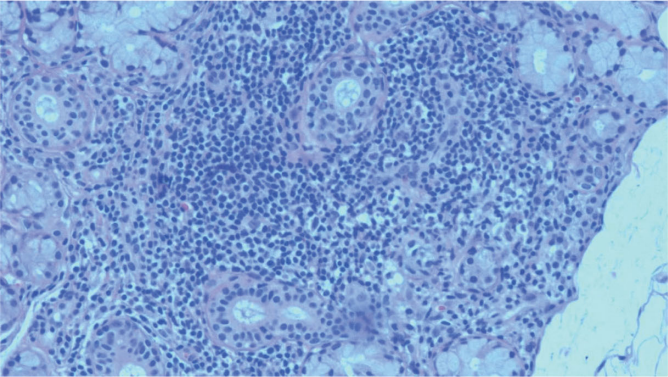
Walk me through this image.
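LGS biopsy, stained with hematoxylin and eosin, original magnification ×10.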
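A gland lobule is seen with a dense sheet of small cells with dark, round nuclei and little cytoplasm packed into its centre, crowding between and around several small ducts. The ducts are lined by larger cells with paler, oval nuclei and pinkish cytoplasm around a small lumen. At the margins, pale, foamy glandular acini remain, and at one edge loose fibrous connective tissue borders the lobule.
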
